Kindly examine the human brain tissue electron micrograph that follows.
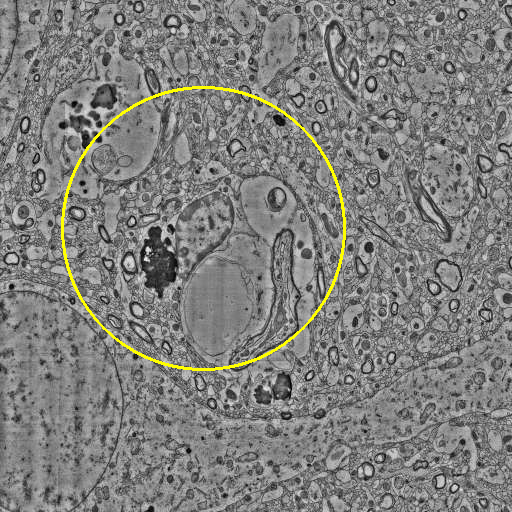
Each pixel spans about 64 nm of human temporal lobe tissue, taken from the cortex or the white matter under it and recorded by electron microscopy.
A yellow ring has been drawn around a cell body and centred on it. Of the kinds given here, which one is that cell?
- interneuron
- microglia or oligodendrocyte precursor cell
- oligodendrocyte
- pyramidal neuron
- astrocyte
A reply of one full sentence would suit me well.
The micrograph's ringed cell, the one at the ring's centre, is a microglial cell or oligodendrocyte precursor cell.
